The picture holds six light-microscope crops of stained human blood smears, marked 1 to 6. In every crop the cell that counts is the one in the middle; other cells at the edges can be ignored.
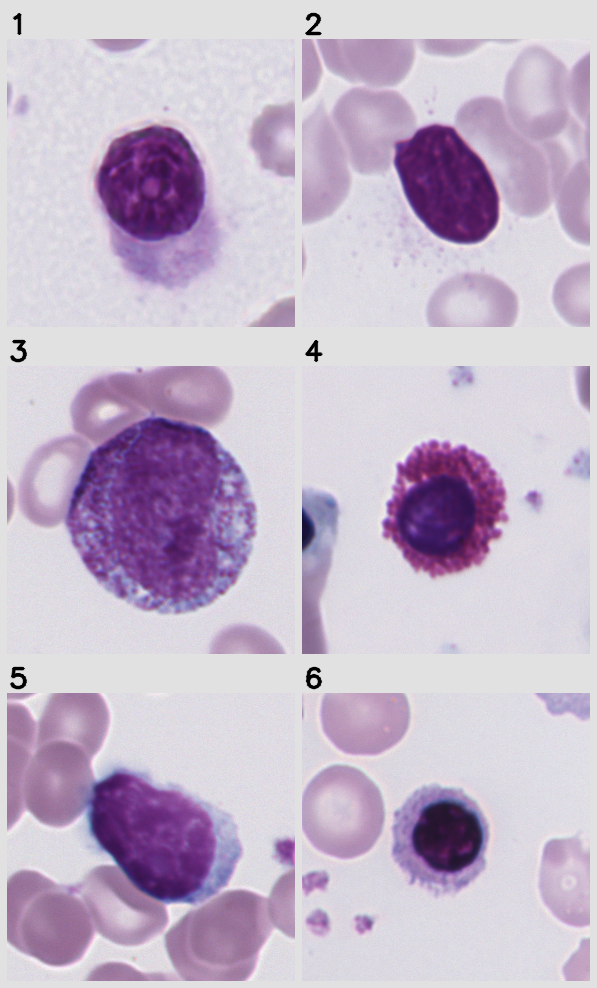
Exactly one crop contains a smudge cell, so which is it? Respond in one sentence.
Of the labeled crops, the one with a smudge cell is crop 2.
